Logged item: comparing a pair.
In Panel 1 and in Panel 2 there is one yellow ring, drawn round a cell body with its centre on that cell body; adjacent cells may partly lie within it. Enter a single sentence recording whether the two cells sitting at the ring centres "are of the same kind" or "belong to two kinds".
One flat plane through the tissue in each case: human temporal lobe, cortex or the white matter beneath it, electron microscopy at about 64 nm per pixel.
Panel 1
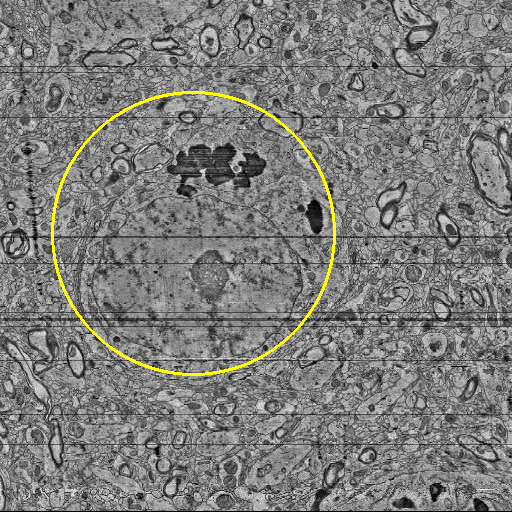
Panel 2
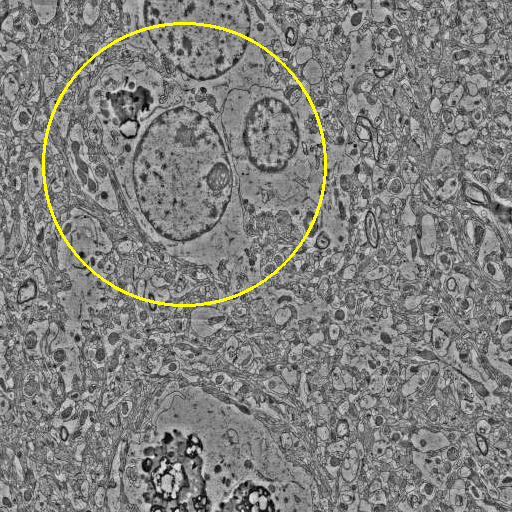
Logged: the cells centred in the rings of Panel 1 and Panel 2 belong to two kinds.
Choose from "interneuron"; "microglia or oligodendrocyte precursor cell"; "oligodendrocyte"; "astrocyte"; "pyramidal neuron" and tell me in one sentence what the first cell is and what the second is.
What the first ring is centred on is a pyramidal neuron; what the second ring is centred on is an astrocyte.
